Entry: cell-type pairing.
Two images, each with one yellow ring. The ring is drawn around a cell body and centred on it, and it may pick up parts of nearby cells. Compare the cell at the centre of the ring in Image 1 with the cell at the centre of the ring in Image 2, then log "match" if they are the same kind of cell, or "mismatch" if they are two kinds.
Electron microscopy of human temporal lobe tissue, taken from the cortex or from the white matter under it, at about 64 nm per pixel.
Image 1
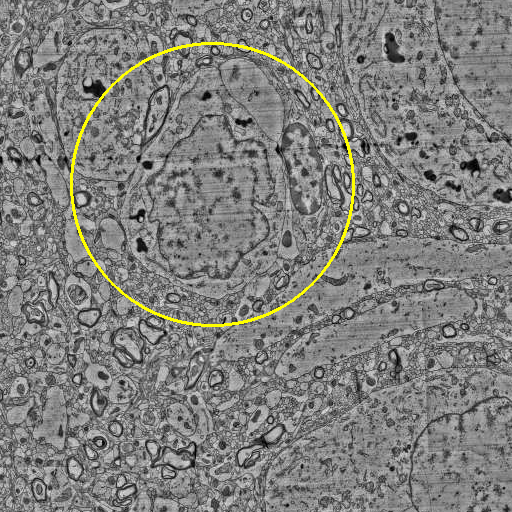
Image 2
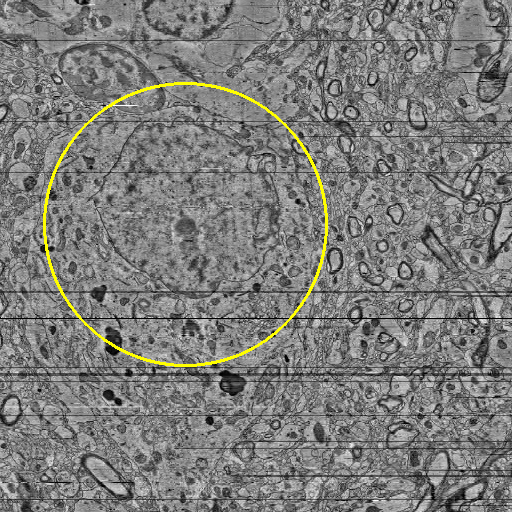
match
